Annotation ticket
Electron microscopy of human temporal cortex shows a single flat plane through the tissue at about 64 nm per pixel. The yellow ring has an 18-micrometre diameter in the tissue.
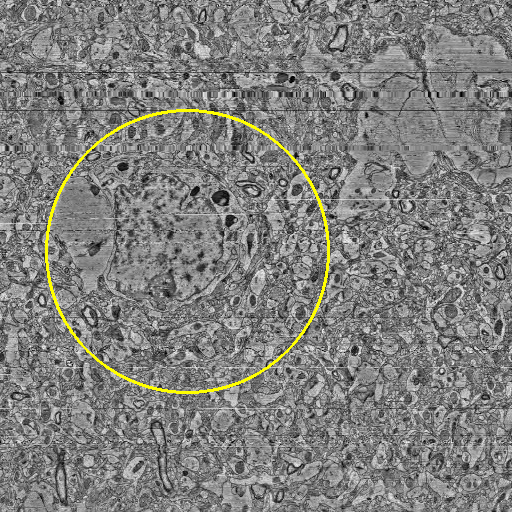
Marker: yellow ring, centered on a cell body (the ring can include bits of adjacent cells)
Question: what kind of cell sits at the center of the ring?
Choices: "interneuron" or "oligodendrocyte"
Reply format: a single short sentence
The ring is centered on an interneuron.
